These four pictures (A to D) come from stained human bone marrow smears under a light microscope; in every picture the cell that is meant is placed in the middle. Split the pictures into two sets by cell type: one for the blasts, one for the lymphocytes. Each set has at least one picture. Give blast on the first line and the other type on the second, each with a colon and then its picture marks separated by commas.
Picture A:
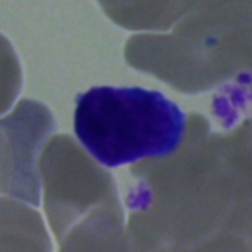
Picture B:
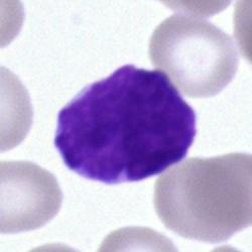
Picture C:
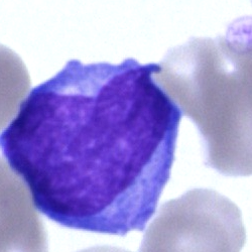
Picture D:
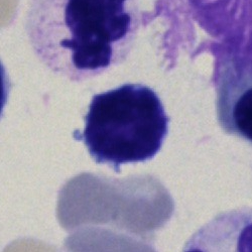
blast: C
lymphocyte: A, B, D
